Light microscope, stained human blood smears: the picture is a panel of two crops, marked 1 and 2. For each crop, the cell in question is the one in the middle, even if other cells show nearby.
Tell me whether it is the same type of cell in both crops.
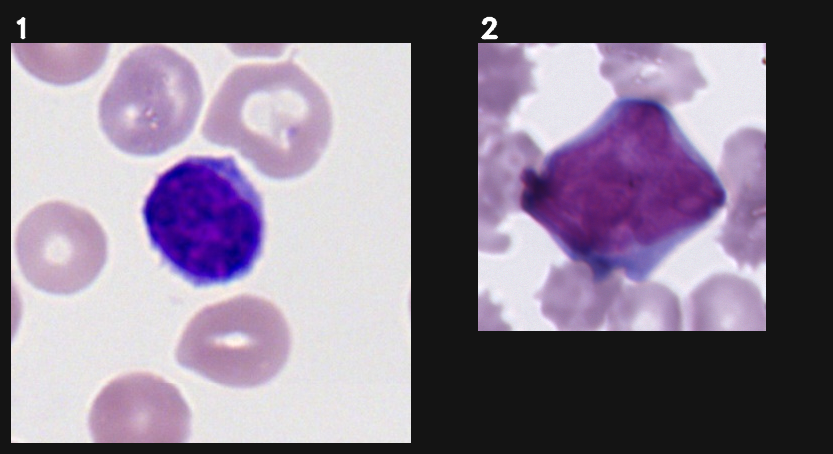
no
